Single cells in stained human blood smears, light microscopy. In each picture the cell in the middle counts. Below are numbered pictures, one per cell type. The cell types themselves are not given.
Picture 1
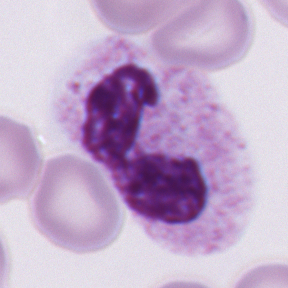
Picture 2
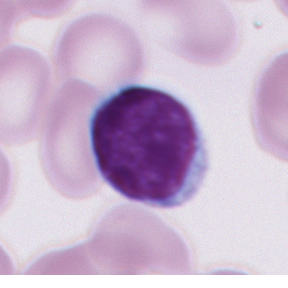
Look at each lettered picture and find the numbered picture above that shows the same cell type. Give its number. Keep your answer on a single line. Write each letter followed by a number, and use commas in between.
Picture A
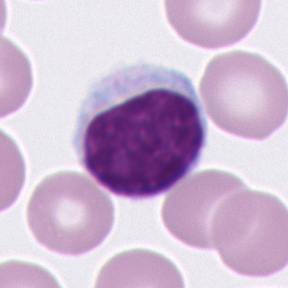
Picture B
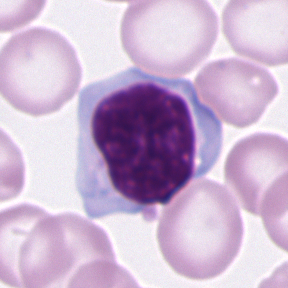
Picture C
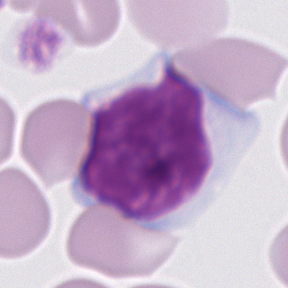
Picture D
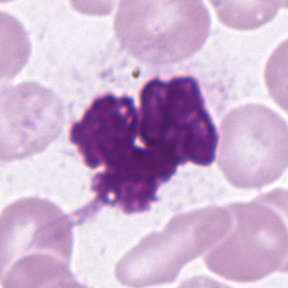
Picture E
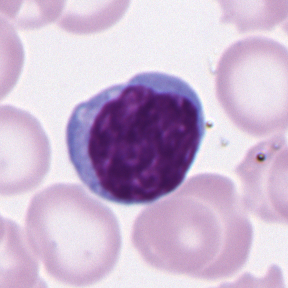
A 2, B 2, C 2, D 1, E 2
